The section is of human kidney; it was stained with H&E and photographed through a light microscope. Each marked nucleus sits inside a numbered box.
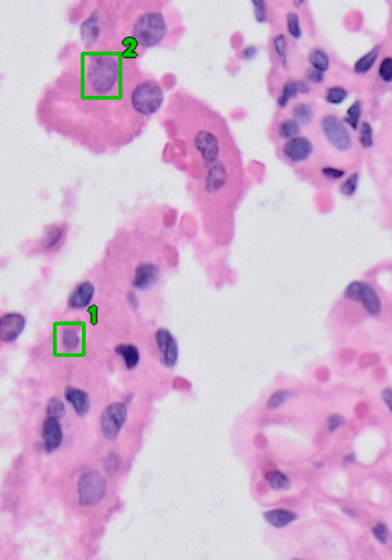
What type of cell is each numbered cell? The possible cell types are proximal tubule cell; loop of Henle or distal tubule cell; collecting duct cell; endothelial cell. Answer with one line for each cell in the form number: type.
1: endothelial cell
2: proximal tubule cell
